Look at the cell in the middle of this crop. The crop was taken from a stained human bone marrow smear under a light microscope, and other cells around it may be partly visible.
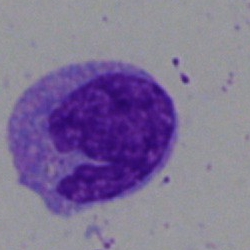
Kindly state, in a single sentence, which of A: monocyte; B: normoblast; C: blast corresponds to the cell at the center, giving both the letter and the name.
Option A is to be chosen, as the central cell is a monocyte.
